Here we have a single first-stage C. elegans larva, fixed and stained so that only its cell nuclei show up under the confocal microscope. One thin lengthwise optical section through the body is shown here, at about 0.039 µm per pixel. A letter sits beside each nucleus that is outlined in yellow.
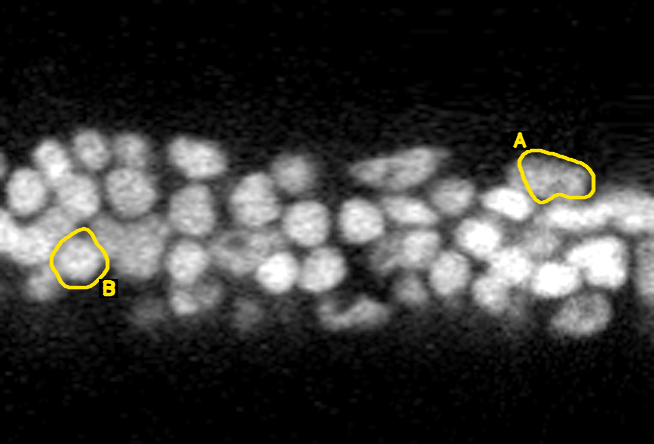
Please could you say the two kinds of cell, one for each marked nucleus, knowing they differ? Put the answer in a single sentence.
The nucleus A is that of a body wall muscle cell, while B is that of a neuron.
